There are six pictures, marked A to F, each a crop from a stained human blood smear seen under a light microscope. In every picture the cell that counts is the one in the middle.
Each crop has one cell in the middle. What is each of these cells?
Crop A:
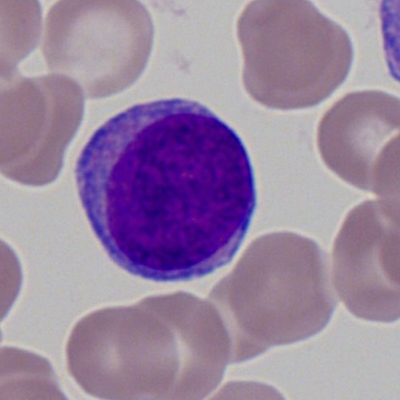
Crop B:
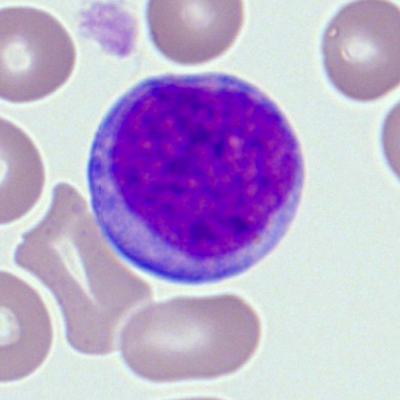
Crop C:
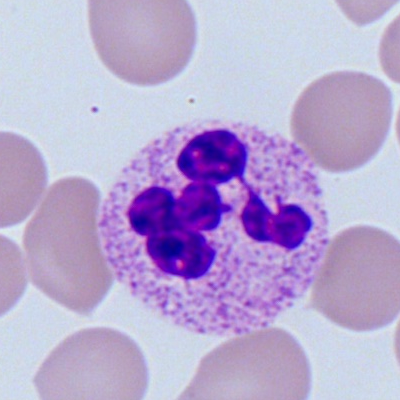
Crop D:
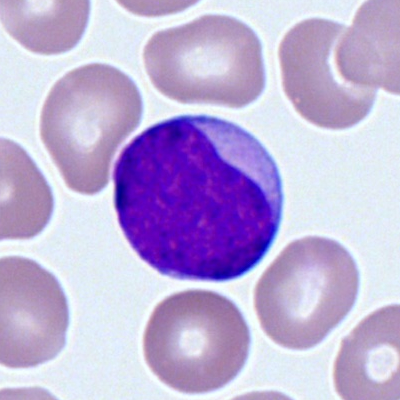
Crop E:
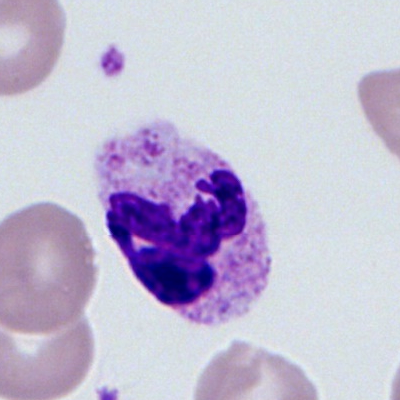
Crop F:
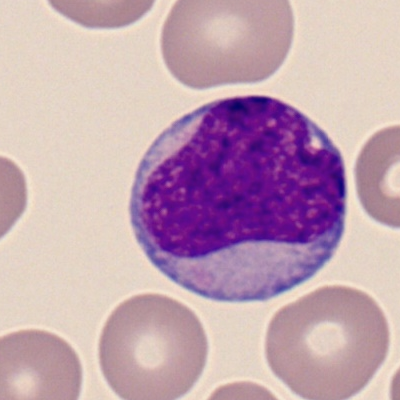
A: myeloblast
B: myeloblast
C: segmented neutrophil
D: myeloblast
E: segmented neutrophil
F: myeloblast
